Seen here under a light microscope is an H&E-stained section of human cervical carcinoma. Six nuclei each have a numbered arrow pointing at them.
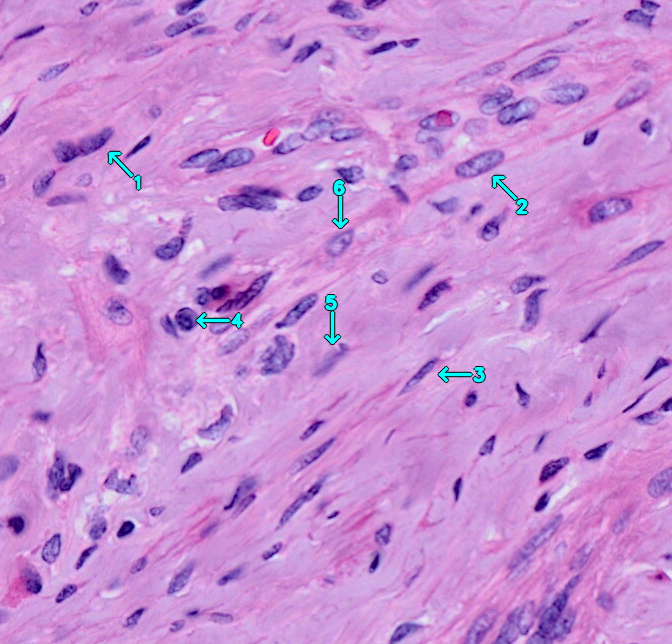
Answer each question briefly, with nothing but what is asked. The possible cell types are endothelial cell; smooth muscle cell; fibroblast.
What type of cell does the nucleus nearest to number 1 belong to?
fibroblast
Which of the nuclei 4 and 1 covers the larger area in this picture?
1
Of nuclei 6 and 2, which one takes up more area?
2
